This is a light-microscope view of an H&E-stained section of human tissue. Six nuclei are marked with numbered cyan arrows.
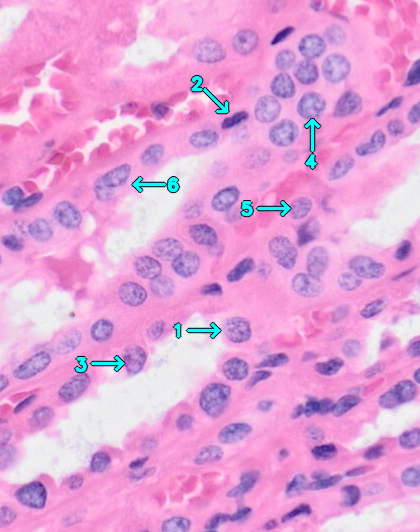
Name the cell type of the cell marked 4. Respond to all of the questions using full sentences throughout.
Among the marked nuclei, number 4 belongs to a collecting duct cell.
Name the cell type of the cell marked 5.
Number 5 is placed on a collecting duct cell here.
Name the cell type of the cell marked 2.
The nucleus labeled 2 belongs to a collecting duct cell.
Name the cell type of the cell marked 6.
The cell referred to as 6 is a collecting duct cell.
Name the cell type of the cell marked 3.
The cell identified by number 3 is a loop of Henle or distal tubule cell.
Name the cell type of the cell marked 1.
The cell referred to as 1 is a loop of Henle or distal tubule cell.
